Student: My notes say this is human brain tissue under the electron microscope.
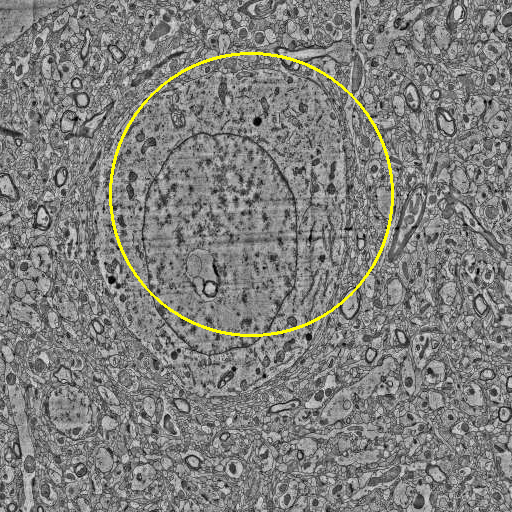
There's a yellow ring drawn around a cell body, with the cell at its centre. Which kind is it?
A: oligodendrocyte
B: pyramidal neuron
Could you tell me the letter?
B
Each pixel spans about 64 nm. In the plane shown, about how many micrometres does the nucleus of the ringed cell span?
About 14 micrometres by about 10 micrometres in this plane.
